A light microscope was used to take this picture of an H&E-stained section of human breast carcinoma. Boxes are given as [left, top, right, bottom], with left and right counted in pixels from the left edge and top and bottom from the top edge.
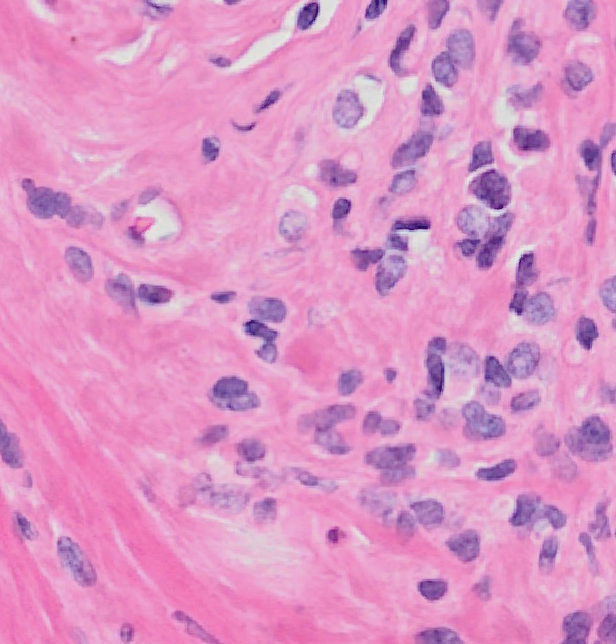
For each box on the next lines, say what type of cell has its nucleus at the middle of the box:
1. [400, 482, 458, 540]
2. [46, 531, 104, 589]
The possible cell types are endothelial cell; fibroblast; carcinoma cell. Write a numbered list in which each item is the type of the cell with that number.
1. carcinoma cell
2. fibroblast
